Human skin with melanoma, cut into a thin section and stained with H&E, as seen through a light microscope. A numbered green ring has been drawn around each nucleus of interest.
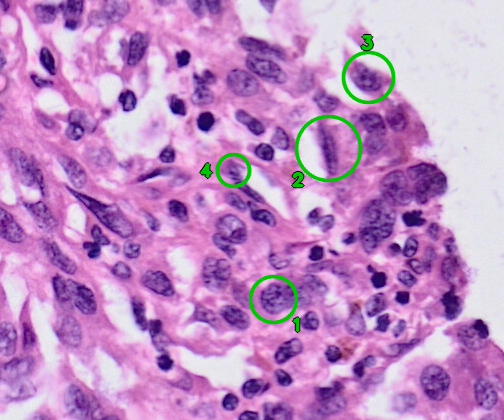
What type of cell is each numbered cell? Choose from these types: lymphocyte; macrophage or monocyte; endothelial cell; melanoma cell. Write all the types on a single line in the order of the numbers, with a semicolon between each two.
melanoma cell; melanoma cell; melanoma cell; endothelial cell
